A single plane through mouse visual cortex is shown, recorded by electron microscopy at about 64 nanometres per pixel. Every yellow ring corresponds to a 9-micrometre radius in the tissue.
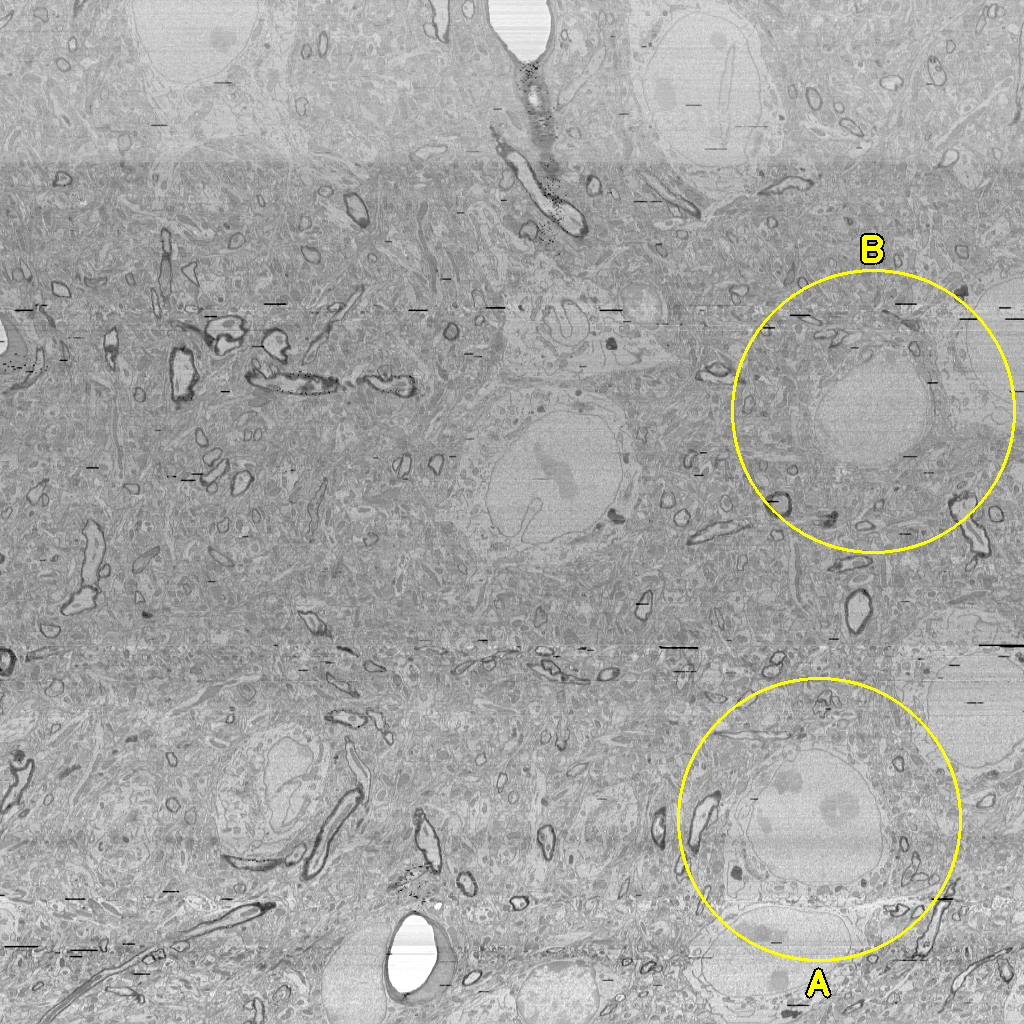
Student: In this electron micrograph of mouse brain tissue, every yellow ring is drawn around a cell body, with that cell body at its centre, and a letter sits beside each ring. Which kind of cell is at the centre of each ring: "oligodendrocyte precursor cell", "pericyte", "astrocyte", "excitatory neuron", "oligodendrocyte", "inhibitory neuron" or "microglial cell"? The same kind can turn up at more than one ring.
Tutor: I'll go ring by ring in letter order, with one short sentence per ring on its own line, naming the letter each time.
Ring A: the cell at its centre is an excitatory neuron.
Ring B: the cell at its centre is an astrocyte.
